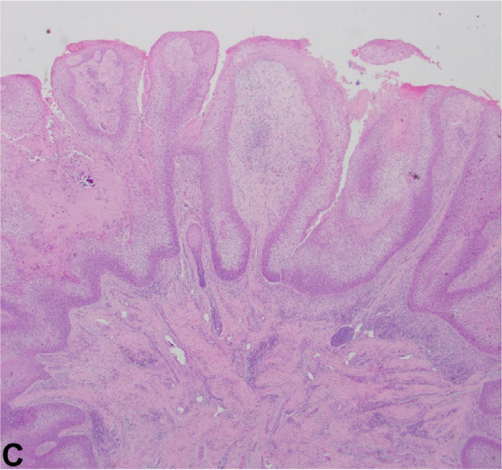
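This low-power view shows a papillomatous exophytic proliferation of squamous epithelium. Several broad, finger-like fronds project upward above the surface, each with a paler central core of fibroconnective tissue. Thick pink-purple epithelium covers the cores and extends downward as broad rounded masses into the underlying stroma. Below the epithelium lies looser connective tissue with scattered small vessels. Thin layers of surface material cap parts of the fronds.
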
